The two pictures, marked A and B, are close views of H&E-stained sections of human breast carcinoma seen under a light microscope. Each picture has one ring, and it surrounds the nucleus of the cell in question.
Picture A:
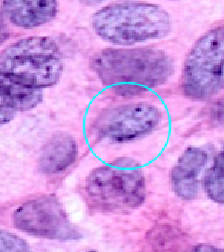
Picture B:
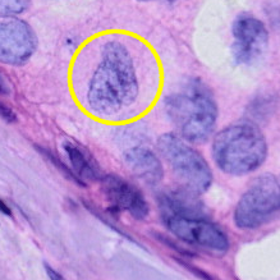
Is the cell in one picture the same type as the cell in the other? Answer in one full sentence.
Yes, both are carcinoma cells.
